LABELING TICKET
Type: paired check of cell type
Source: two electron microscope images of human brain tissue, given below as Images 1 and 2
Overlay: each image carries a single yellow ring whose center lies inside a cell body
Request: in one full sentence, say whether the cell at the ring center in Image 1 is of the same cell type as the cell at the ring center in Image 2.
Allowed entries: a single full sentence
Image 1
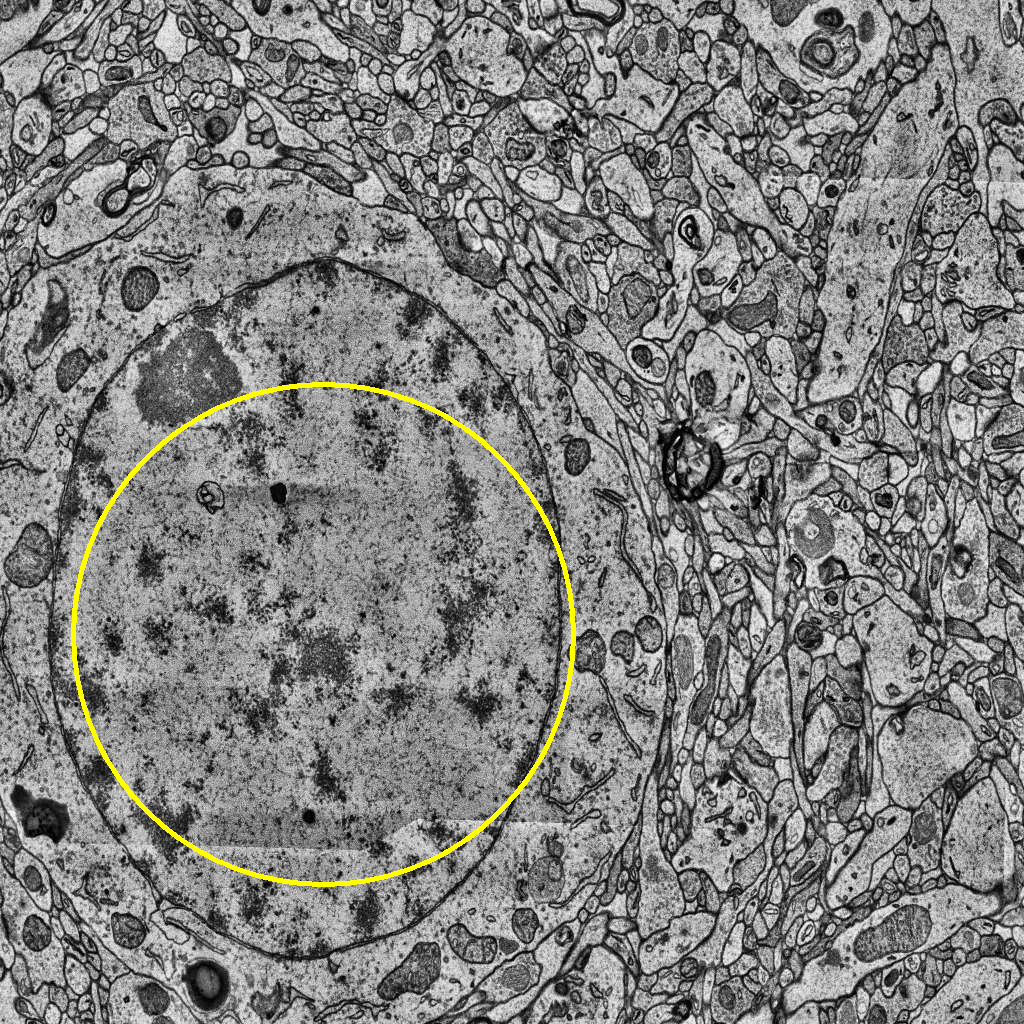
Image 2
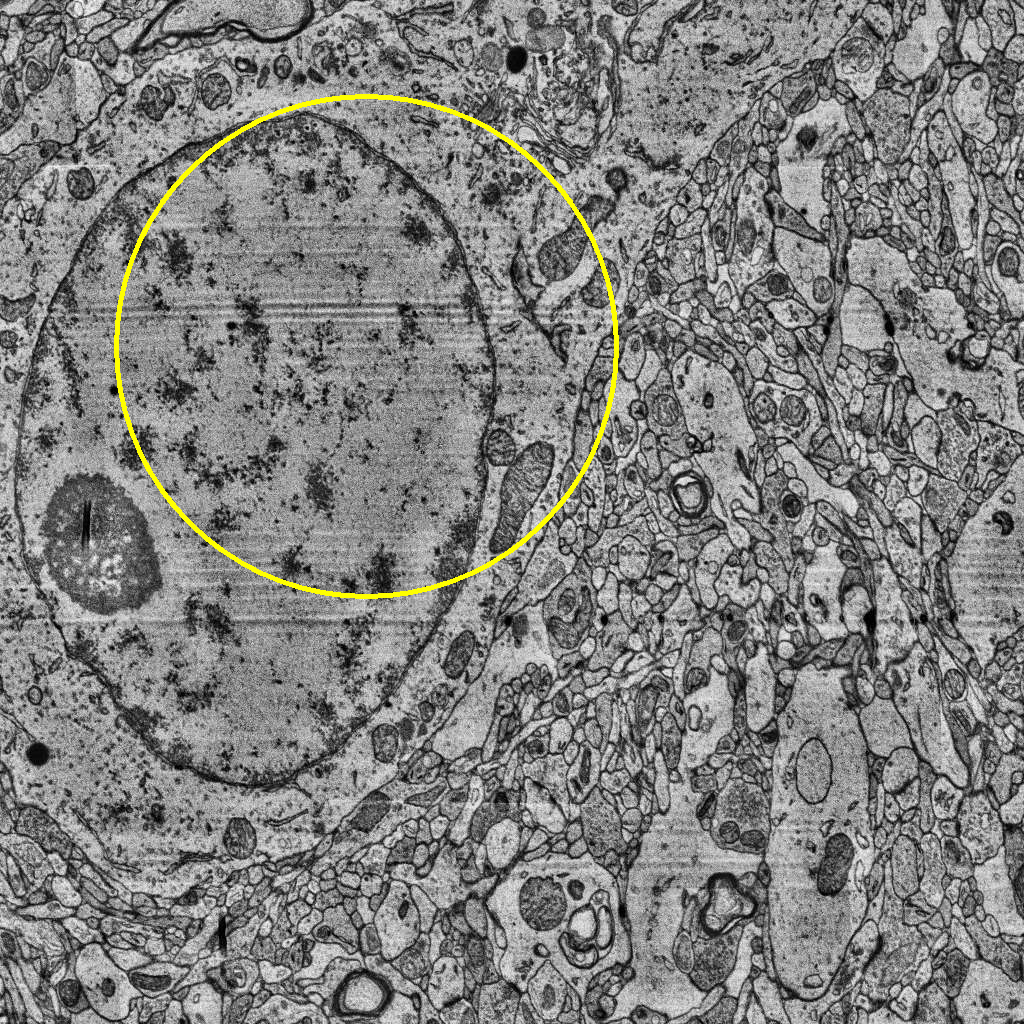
Yes, the cells at the ring centers of Image 1 and Image 2 share one type.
